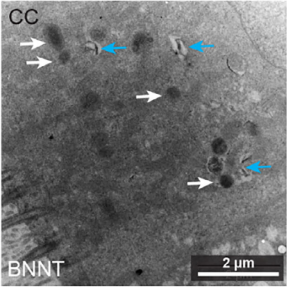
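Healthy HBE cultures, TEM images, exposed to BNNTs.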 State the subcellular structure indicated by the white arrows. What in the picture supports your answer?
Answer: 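The white arrows point to small round dark homogeneous bodies in the cytoplasm. Several such round dense bodies lie scattered and in small clusters.
Lipid droplets.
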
